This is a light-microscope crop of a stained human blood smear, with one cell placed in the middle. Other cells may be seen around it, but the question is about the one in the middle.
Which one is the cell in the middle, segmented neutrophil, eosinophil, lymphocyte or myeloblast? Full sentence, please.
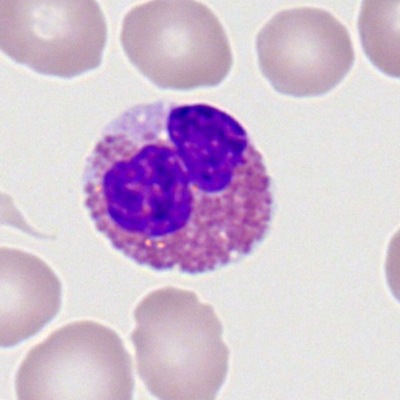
Where the crop is centred, there is an eosinophil.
